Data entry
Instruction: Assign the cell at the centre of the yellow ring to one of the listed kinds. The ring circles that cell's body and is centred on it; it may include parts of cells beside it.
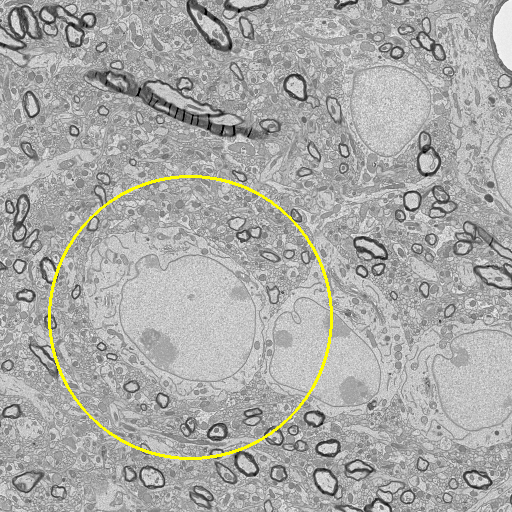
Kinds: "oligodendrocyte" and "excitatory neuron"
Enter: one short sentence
The centre of the ring falls on an excitatory neuron.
